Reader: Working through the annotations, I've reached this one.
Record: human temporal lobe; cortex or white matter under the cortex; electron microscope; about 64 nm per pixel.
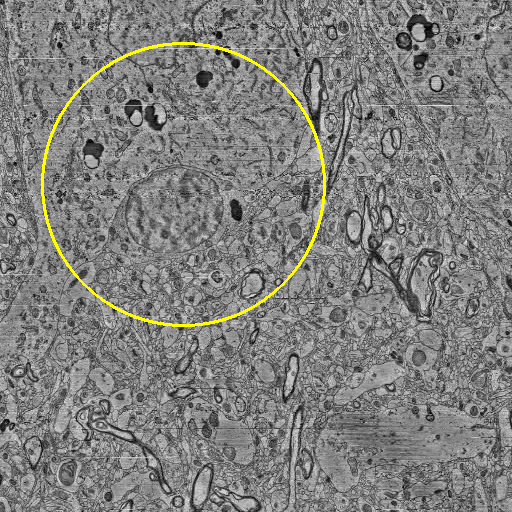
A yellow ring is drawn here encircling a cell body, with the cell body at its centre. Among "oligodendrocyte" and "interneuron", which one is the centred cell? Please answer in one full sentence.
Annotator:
The cell body at the centre of the yellow ring in this image belongs to an oligodendrocyte.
